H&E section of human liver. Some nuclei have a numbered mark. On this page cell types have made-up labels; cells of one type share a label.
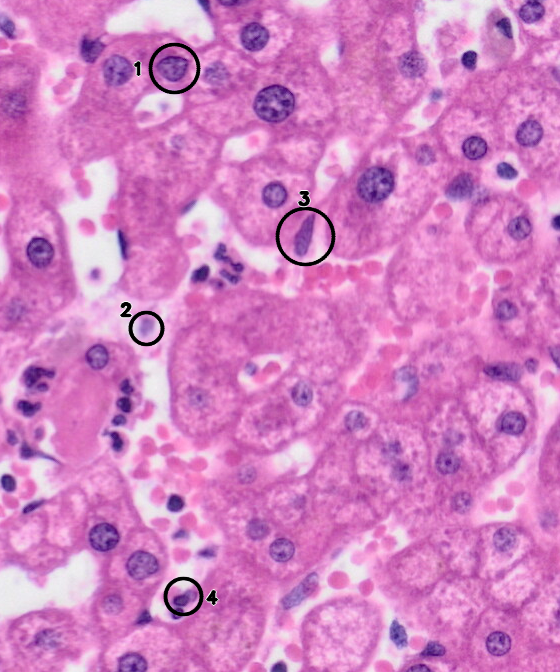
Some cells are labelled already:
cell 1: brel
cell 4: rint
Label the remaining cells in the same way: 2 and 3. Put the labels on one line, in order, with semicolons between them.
rint; rint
